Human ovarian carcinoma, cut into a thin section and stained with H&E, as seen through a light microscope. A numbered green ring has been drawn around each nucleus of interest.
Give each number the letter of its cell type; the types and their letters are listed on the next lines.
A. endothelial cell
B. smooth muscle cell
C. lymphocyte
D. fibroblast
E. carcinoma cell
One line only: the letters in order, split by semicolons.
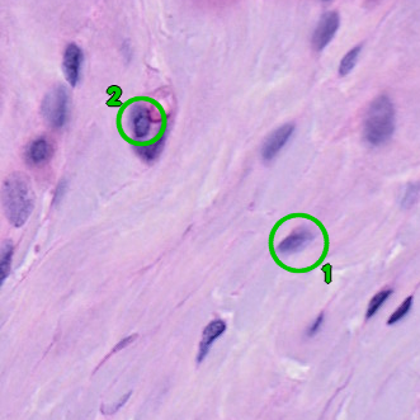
D; A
